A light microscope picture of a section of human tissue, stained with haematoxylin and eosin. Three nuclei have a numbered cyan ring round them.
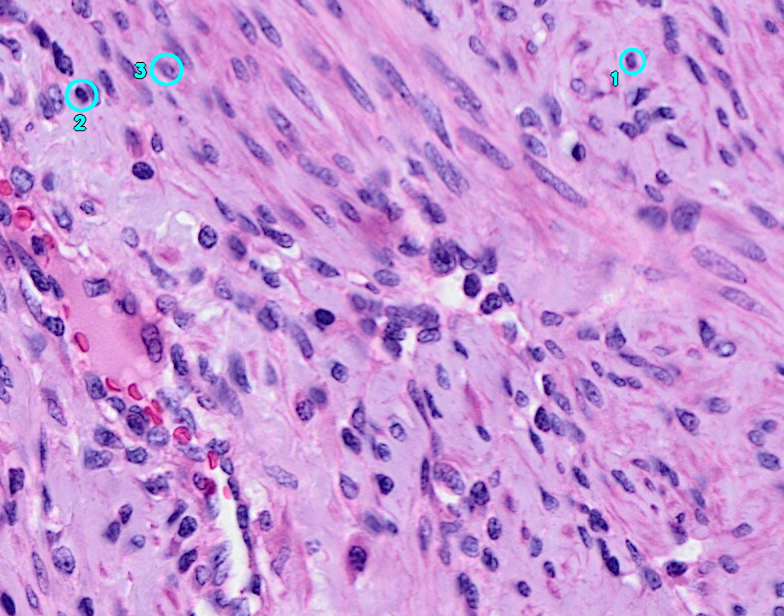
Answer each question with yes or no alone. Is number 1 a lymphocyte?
no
